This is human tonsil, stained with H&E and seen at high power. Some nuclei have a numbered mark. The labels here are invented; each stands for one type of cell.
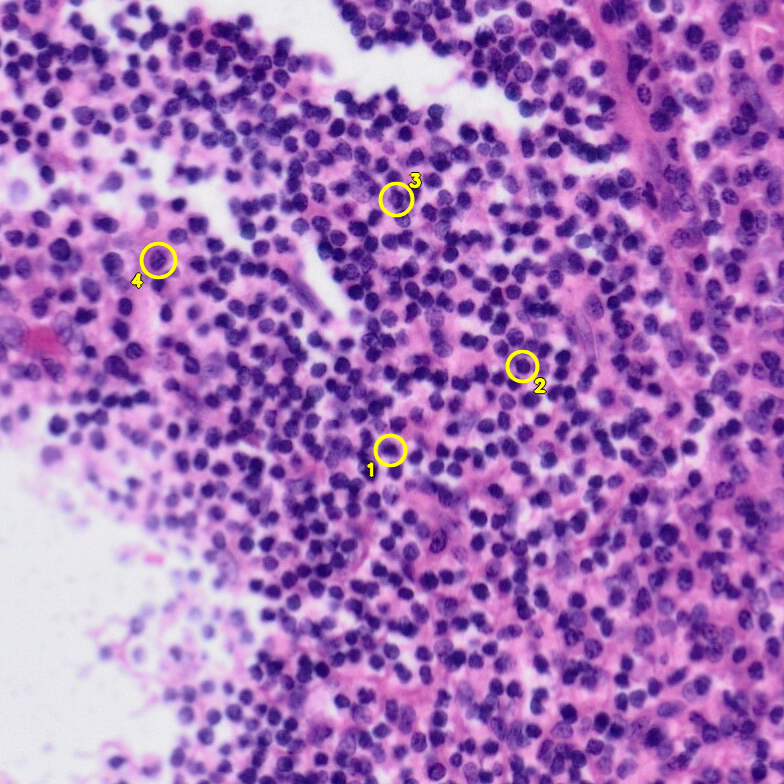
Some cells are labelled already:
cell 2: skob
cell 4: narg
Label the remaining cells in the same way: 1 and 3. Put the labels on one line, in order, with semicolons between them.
skob; skob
